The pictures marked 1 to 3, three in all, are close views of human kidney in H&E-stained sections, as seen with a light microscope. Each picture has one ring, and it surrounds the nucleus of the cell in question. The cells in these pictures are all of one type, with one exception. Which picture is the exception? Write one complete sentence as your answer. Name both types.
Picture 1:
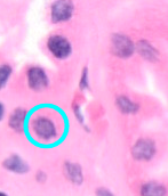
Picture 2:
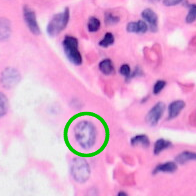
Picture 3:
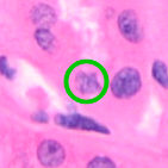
Unlike the rest, which show collecting duct cells, picture 1 shows a “loop of Henle or distal tubule cell”.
